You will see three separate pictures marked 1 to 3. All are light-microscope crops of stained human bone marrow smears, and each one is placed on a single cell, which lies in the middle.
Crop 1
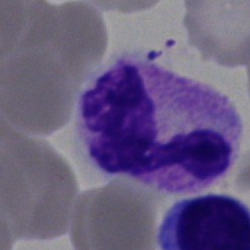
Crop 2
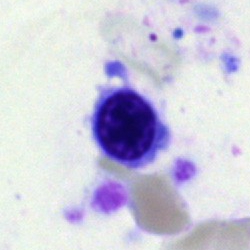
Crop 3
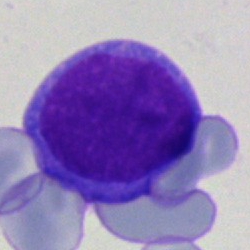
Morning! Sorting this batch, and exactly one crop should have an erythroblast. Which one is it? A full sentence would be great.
Crop 2 is the crop that displays an erythroblast.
